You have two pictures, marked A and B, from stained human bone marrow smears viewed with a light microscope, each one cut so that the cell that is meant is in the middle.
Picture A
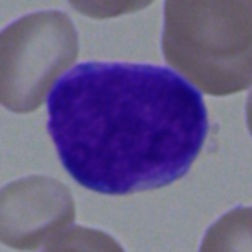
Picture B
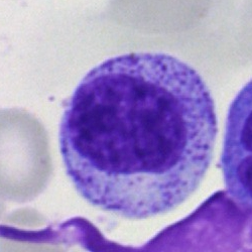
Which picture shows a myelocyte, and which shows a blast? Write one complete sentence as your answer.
It is picture A that shows a blast, and picture B that shows a myelocyte.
